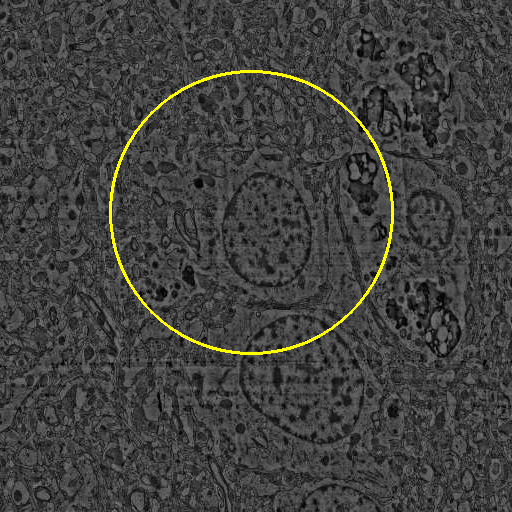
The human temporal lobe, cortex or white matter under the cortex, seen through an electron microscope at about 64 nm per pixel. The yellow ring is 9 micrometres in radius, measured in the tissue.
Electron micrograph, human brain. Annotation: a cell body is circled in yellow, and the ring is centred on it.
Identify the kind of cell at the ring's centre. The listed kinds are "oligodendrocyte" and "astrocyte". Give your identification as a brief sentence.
The circled cell body is that of an astrocyte.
